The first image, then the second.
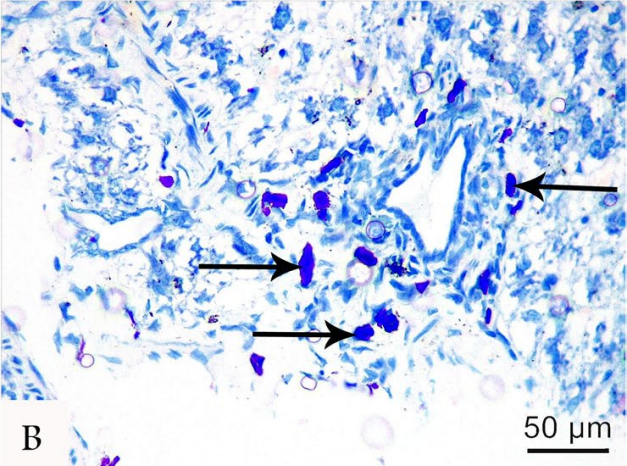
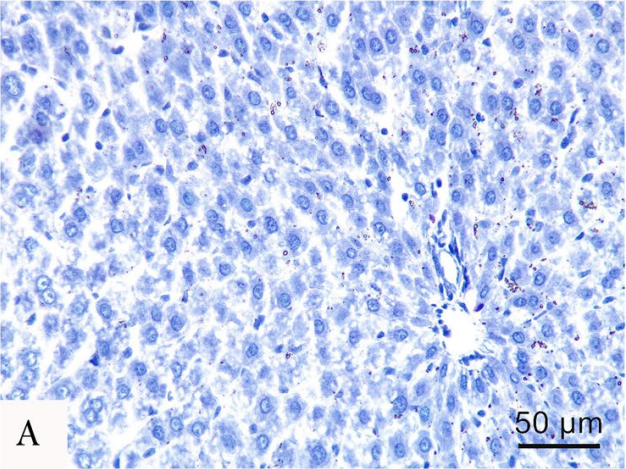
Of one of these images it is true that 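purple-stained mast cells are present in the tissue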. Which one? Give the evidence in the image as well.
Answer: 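The first image. First image: several deep purple, plump cells lie scattered in connective tissue around vessels. Second image: only pale blue hepatocyte cords around a central vein, with no deep purple cells.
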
